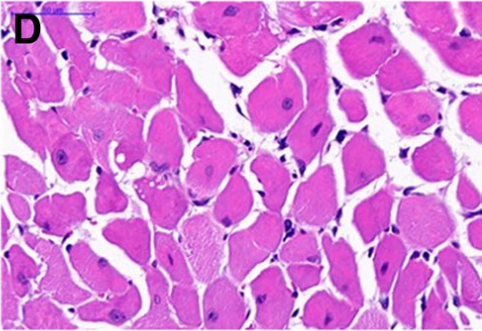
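The fibres are large, rounded-polygonal, strongly eosinophilic profiles, varying in size, several with a prominent central oval nucleus. Some fibres show small clear vacuoles in their cytoplasm. The fibres are separated by pale interstitial spaces containing scattered small dark nuclei of interstitial cells. The overall impression is of enlarged muscle cells with clefts between them.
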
